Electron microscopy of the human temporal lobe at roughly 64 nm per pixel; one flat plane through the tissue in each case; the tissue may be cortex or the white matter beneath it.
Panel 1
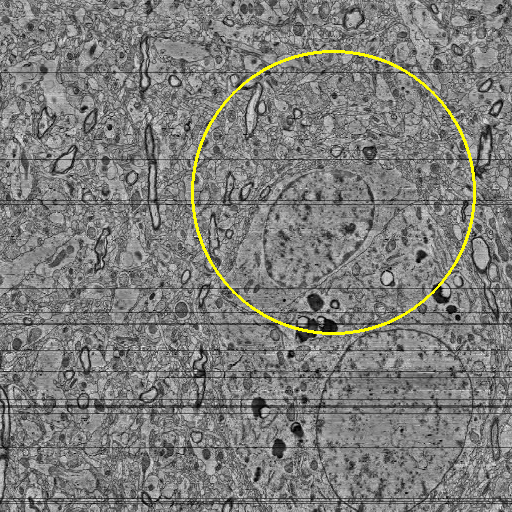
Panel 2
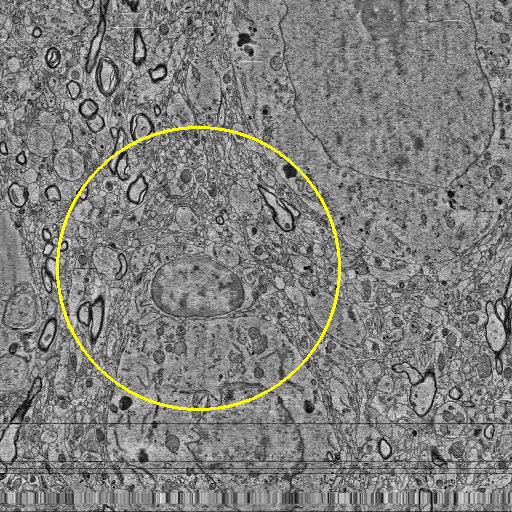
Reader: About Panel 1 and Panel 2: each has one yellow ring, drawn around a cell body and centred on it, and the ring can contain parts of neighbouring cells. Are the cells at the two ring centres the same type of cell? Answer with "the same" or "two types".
the same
